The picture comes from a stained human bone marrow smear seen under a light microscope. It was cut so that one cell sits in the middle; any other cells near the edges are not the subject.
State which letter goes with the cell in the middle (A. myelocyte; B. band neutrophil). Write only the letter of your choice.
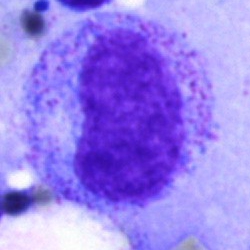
A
